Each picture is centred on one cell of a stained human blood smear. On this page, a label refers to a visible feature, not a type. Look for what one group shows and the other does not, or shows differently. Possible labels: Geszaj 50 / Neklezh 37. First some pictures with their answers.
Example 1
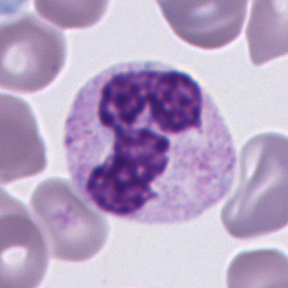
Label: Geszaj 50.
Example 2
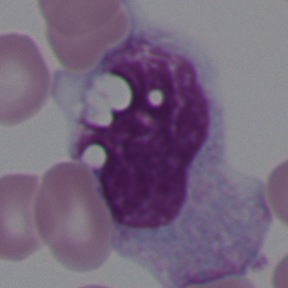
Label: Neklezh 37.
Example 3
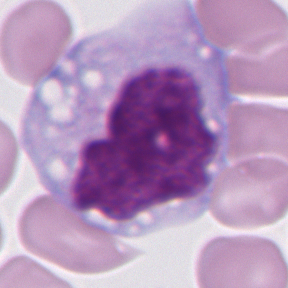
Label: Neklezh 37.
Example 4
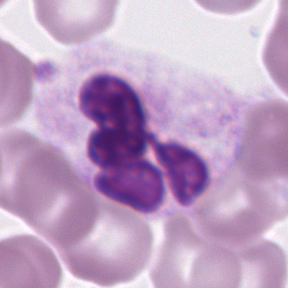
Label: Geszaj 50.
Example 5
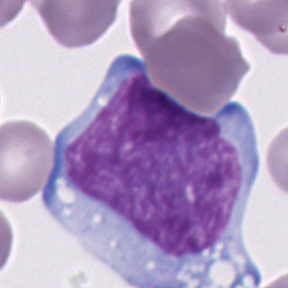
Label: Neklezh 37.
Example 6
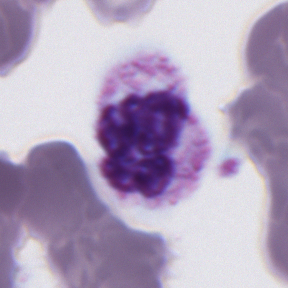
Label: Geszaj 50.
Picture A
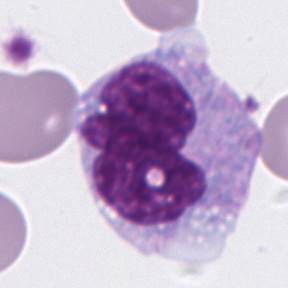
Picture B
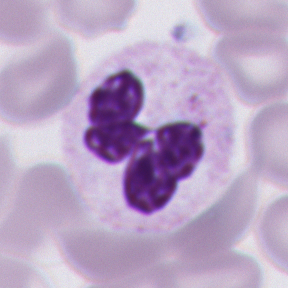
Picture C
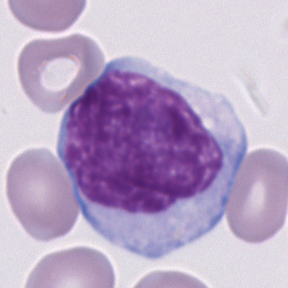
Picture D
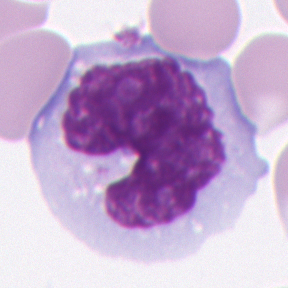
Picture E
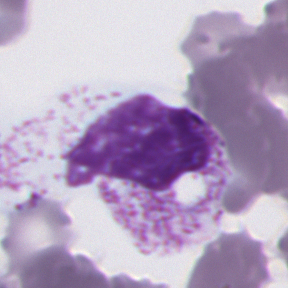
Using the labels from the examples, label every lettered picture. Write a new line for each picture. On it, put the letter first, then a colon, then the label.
A: Neklezh 37.
B: Geszaj 50.
C: Neklezh 37.
D: Neklezh 37.
E: Neklezh 37.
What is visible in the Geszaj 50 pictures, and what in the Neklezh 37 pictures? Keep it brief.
Geszaj 50: no vacuoles; Neklezh 37: vacuoles present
